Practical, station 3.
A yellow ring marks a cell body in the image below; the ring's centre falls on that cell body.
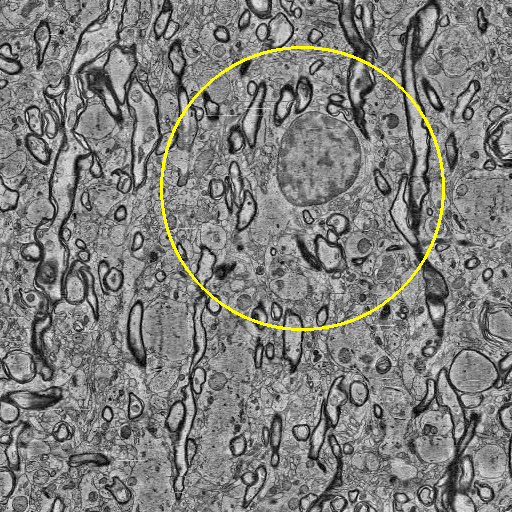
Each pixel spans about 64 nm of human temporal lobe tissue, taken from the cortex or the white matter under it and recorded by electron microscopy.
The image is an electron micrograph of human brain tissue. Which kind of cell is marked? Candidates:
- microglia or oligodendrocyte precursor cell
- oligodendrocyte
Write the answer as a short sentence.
The marked cell body is that of a microglial cell or oligodendrocyte precursor cell.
